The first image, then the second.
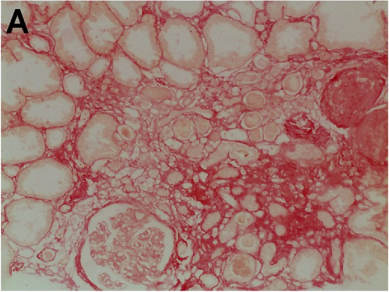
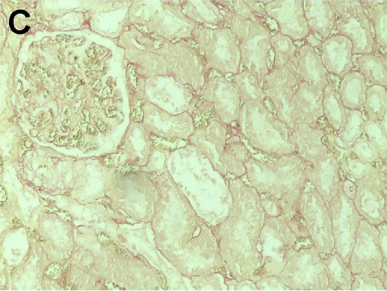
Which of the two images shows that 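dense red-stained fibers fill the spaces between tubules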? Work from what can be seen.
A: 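Second image: tubules lie close together with only faint pink outlines and no red bands. First image: broad bright red fibrous bands separate the tubules.
Answer: the first image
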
